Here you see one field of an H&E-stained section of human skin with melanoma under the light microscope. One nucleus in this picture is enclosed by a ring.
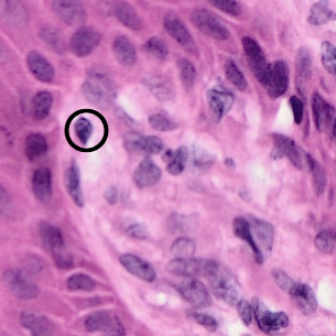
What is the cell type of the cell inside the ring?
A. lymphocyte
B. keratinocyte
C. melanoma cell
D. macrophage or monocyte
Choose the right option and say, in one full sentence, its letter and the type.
Exactly as option A gives it, the cell inside the ring is a lymphocyte.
